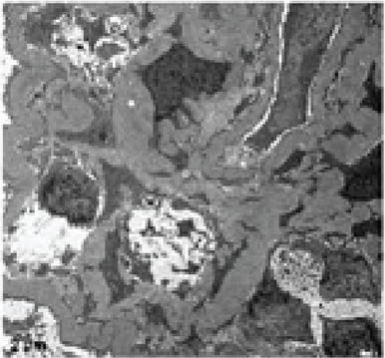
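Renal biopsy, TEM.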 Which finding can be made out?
Irregular thickening of the glomerular basement membrane.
